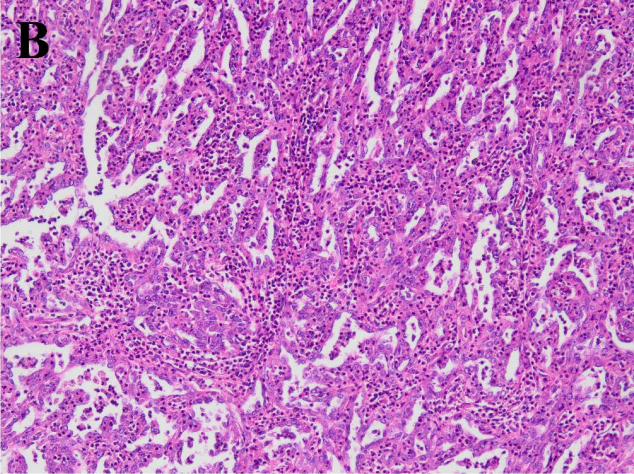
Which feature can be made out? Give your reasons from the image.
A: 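Tubular. Tumor cells line many narrow, branching clear spaces. The clear spaces form slit-like tubules throughout the field.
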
